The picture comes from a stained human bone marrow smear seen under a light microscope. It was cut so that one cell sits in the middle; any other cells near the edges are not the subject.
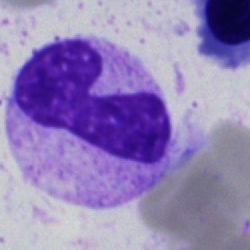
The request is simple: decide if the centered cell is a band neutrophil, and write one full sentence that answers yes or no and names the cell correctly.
Yes, it is a band neutrophil that occupies the centre of the crop.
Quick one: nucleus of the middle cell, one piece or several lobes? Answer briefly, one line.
The nuclear material is gathered into one compact round, oval or kidney-shaped mass.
